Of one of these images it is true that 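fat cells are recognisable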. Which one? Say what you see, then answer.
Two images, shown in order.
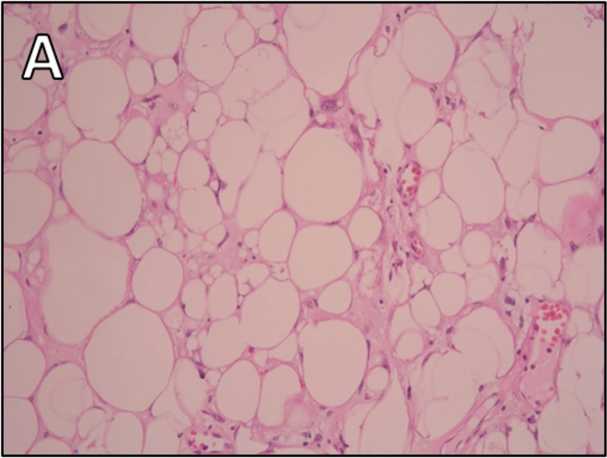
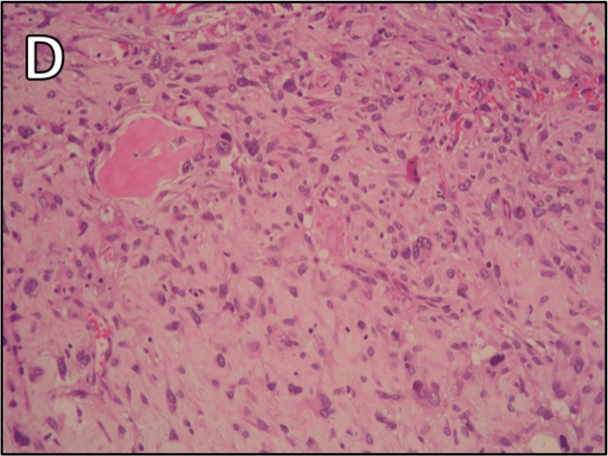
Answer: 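Second image: sheets of crowded pleomorphic cells with no clear fat vacuoles. First image: the field is filled with clear fat cells of varying size.
Answer: the first image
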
